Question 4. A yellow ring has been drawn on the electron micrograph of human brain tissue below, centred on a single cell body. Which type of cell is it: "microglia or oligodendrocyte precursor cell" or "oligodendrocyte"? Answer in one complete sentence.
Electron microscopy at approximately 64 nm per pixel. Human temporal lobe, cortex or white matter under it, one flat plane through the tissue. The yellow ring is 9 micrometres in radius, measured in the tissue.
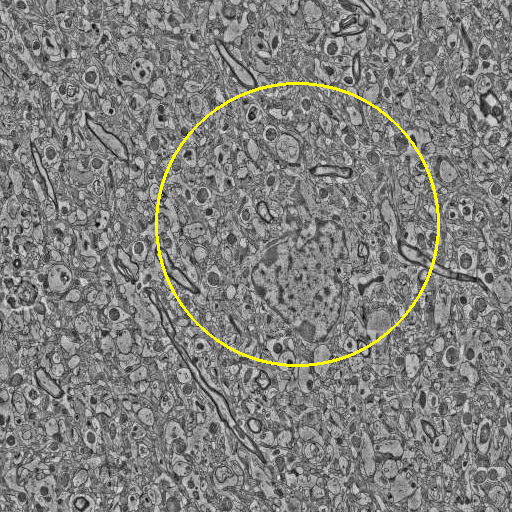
This cell body belongs to a microglial cell or oligodendrocyte precursor cell.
